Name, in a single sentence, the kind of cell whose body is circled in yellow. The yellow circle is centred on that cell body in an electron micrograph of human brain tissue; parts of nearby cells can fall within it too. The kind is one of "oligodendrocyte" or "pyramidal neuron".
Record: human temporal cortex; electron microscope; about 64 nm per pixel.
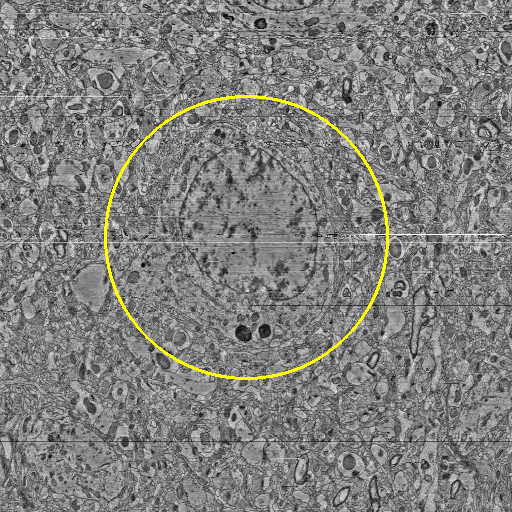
The circled cell body belongs to a pyramidal neuron.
